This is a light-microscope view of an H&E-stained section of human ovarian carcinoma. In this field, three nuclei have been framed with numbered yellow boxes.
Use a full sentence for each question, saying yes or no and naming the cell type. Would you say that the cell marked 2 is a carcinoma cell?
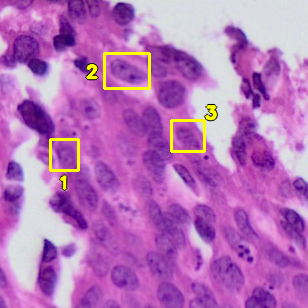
No, what is marked as number 2 is a macrophage or monocyte rather than a carcinoma cell.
